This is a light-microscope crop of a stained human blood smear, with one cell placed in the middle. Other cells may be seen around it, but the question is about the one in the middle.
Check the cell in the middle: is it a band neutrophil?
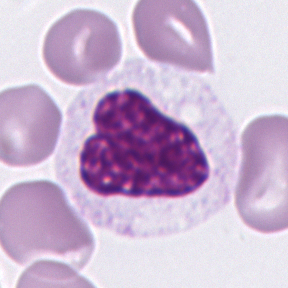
yes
